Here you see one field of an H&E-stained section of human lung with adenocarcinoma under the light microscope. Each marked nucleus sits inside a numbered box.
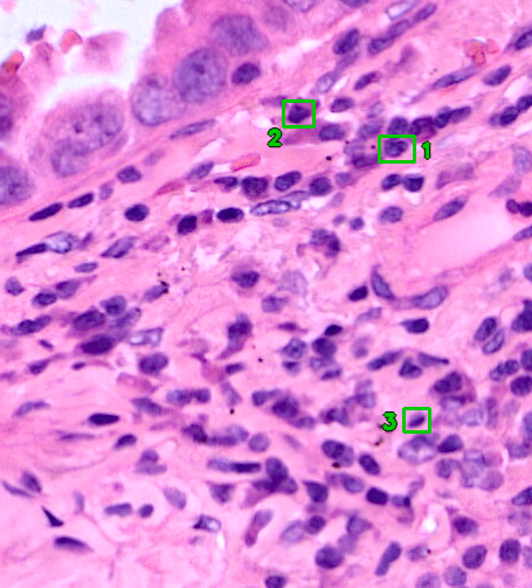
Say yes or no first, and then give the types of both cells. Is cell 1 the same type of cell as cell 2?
No, cell 1 is a lymphocyte and cell 2 is a plasma cell.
